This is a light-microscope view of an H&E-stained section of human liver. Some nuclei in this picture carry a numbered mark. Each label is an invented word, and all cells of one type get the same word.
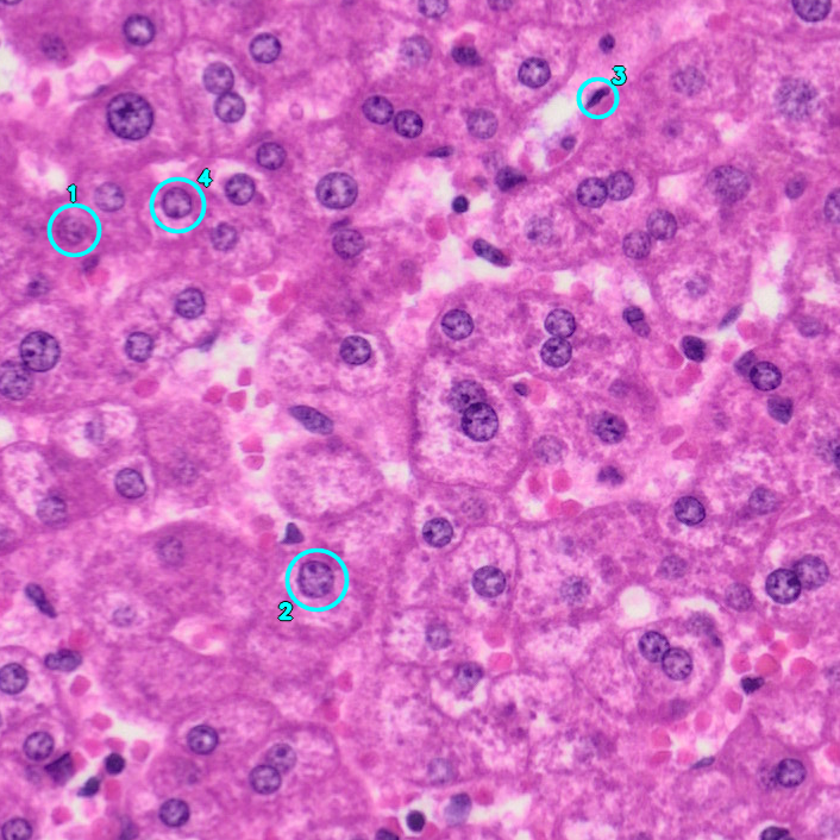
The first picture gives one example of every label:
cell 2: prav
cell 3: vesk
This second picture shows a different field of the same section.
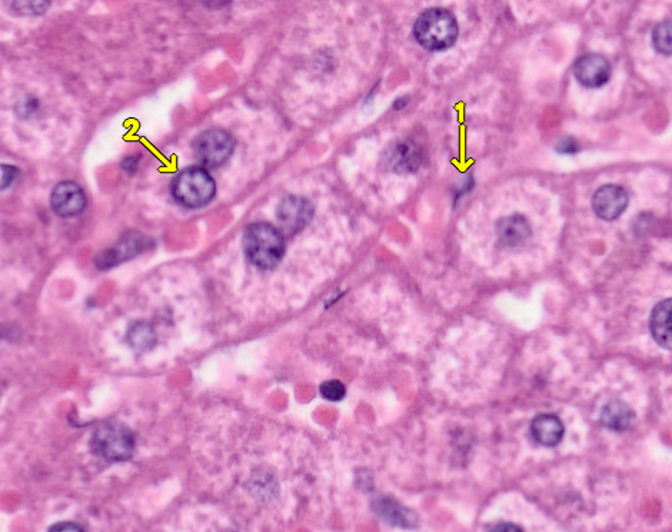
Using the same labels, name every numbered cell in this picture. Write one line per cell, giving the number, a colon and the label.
1: vesk
2: prav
